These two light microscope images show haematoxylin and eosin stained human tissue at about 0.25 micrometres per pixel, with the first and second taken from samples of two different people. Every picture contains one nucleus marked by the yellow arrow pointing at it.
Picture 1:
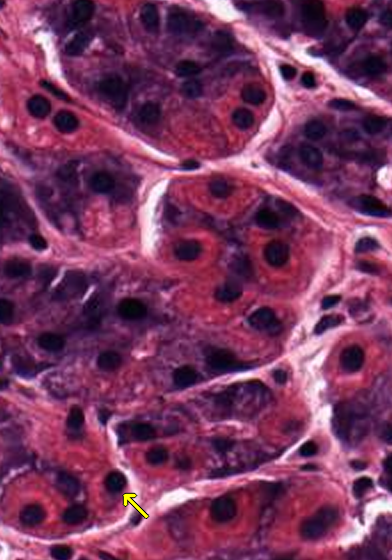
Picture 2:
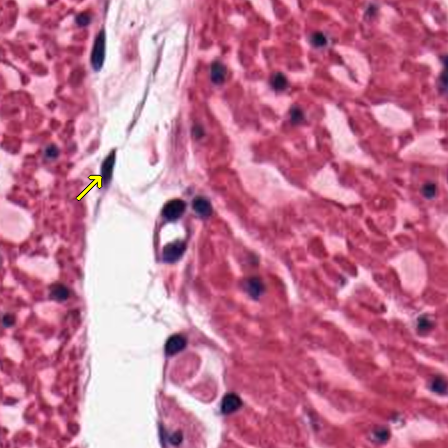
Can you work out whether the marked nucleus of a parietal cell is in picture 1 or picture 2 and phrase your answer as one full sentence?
Picture 1 carries the marked nucleus of a parietal cell.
